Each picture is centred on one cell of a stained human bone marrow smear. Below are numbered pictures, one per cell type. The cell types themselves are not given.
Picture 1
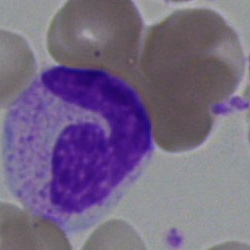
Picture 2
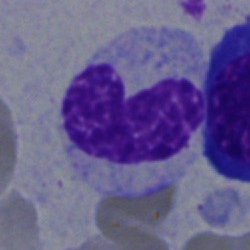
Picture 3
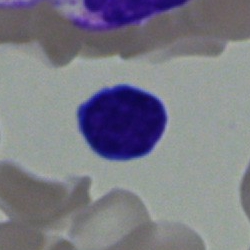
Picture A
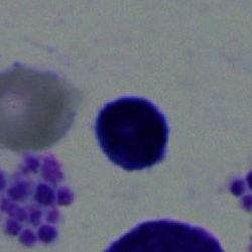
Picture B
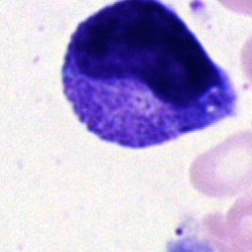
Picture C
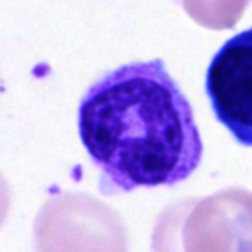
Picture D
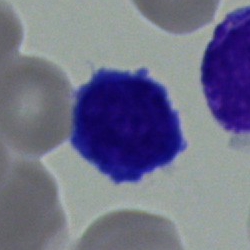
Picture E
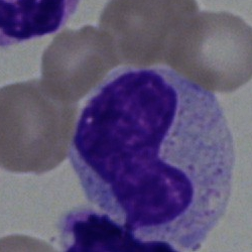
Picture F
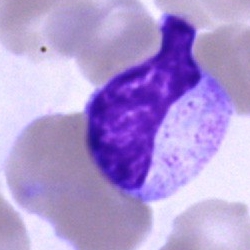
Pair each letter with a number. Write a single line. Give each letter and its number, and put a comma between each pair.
A 3, B 2, C 1, D 3, E 2, F 2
